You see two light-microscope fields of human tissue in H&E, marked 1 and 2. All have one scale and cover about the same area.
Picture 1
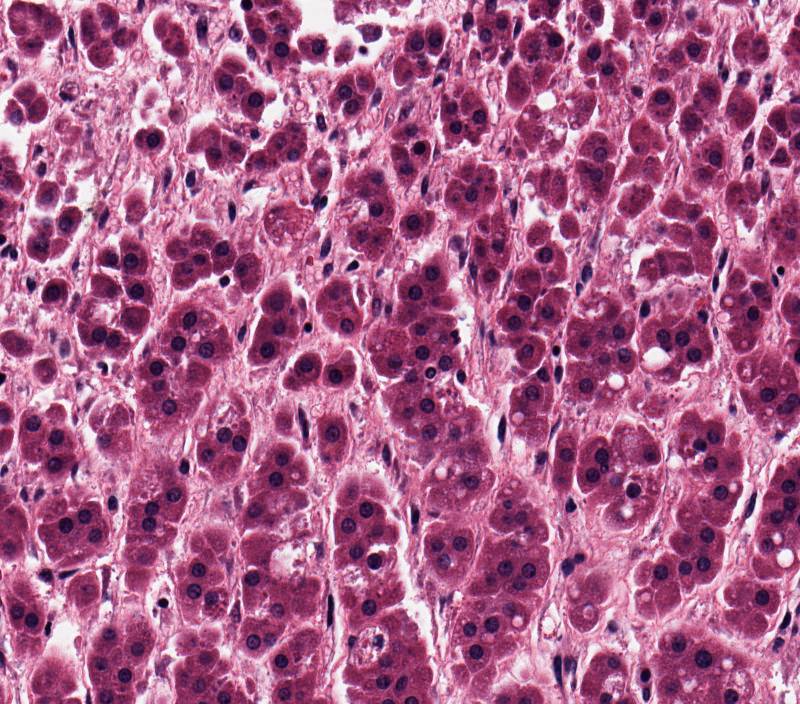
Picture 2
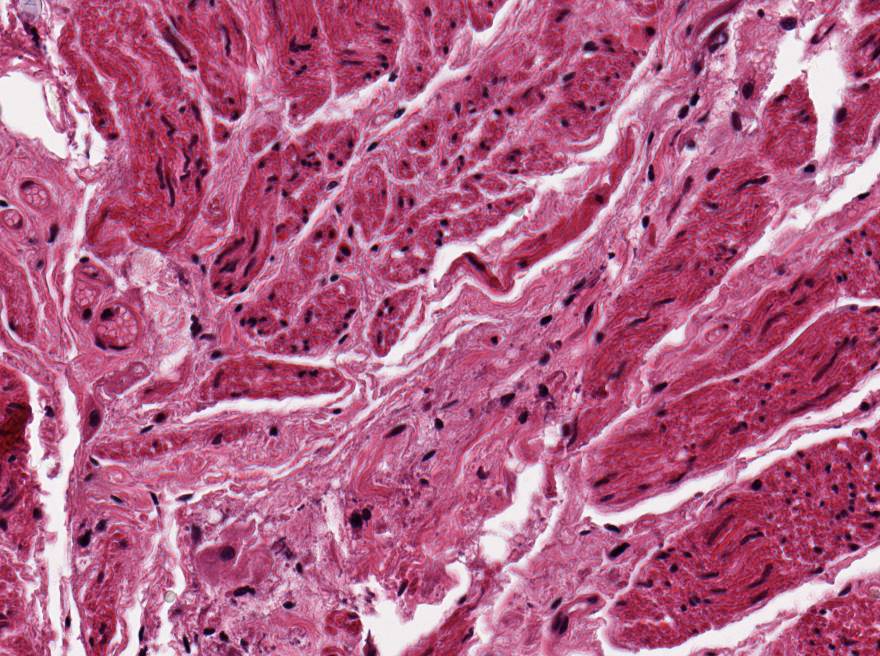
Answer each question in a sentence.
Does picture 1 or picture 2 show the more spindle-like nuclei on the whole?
Longer, more slender nuclei lie in picture 2.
